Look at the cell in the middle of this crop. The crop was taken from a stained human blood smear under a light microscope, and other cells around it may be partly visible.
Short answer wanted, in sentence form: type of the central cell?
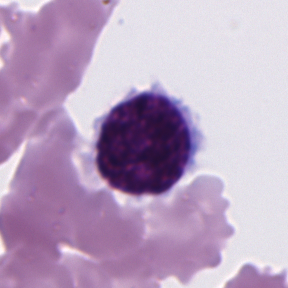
Within this crop, a hairy cell occupies the central position.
